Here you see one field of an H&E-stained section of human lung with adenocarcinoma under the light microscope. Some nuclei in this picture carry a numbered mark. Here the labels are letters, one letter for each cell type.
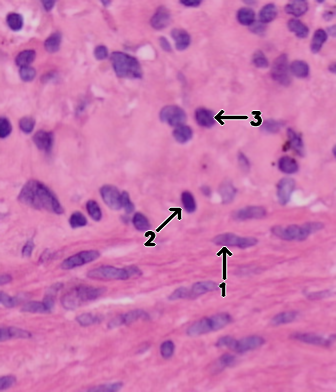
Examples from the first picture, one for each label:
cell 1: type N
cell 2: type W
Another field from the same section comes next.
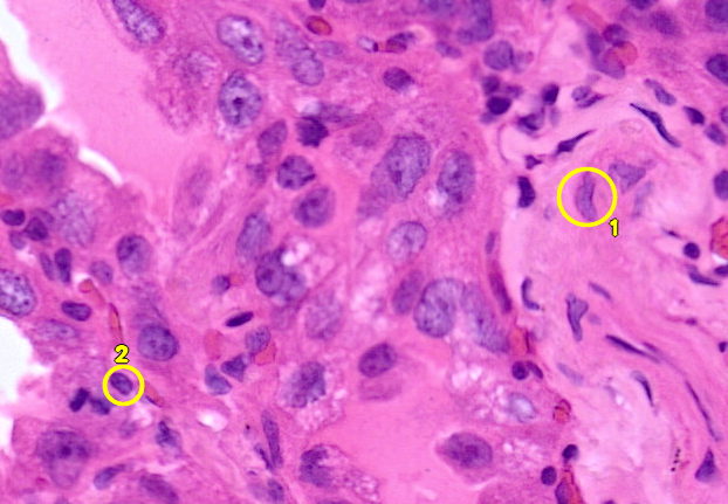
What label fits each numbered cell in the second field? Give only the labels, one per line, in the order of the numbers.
type N
type W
